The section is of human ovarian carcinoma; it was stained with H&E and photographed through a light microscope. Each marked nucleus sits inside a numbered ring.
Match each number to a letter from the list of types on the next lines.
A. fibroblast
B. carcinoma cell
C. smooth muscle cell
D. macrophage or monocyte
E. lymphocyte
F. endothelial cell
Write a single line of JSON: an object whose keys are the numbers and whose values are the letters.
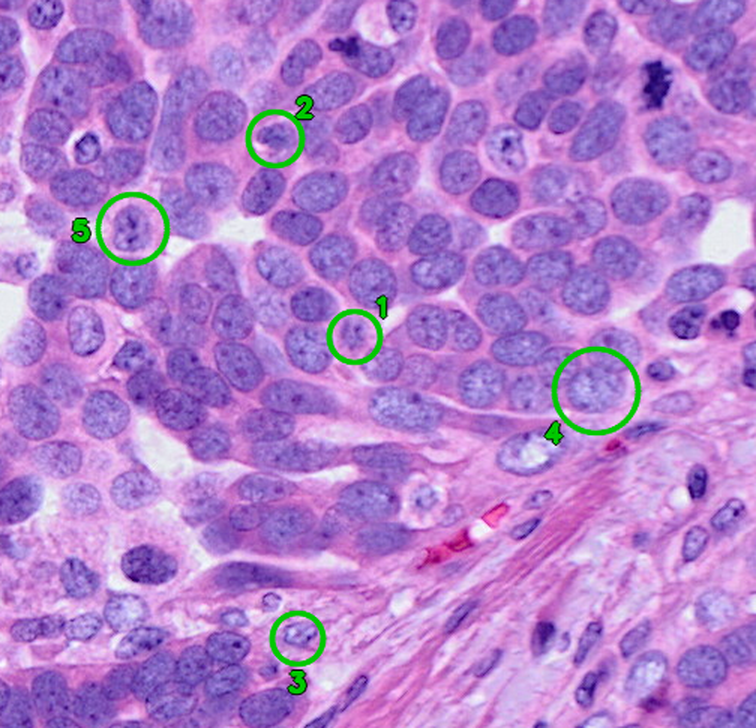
{"1": "D", "2": "D", "3": "A", "4": "B", "5": "D"}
